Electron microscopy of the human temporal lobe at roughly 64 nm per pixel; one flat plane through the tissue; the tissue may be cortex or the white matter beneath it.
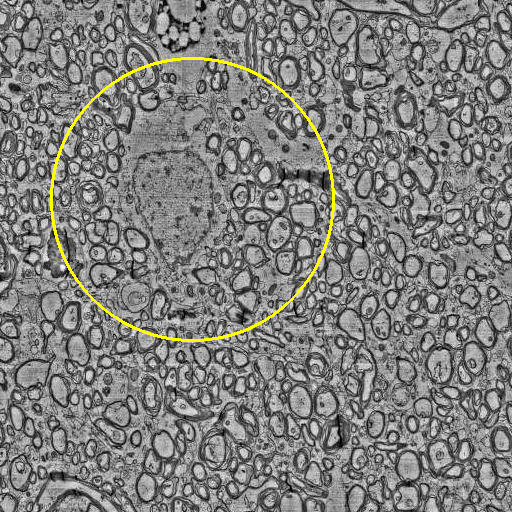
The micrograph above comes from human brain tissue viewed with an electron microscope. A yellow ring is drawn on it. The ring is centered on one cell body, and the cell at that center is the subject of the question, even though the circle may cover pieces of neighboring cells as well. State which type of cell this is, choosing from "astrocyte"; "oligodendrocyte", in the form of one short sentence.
The cell the ring is centered on is an astrocyte.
